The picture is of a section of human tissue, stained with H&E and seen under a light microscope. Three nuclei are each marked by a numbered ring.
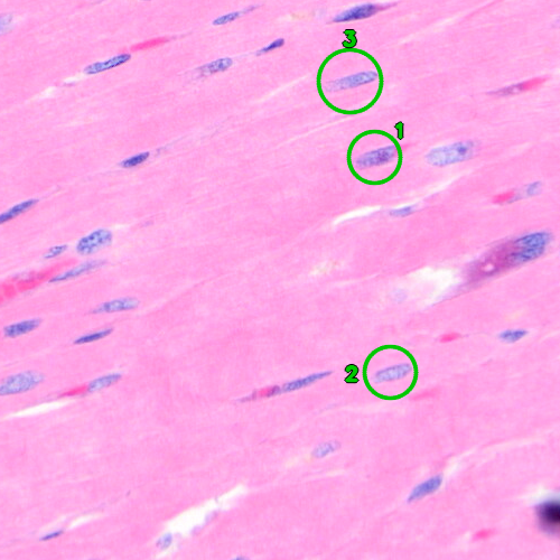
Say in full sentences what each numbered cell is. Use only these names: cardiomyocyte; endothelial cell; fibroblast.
Cell 1 is an endothelial cell, cell 2 is a cardiomyocyte and cell 3 is a cardiomyocyte.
